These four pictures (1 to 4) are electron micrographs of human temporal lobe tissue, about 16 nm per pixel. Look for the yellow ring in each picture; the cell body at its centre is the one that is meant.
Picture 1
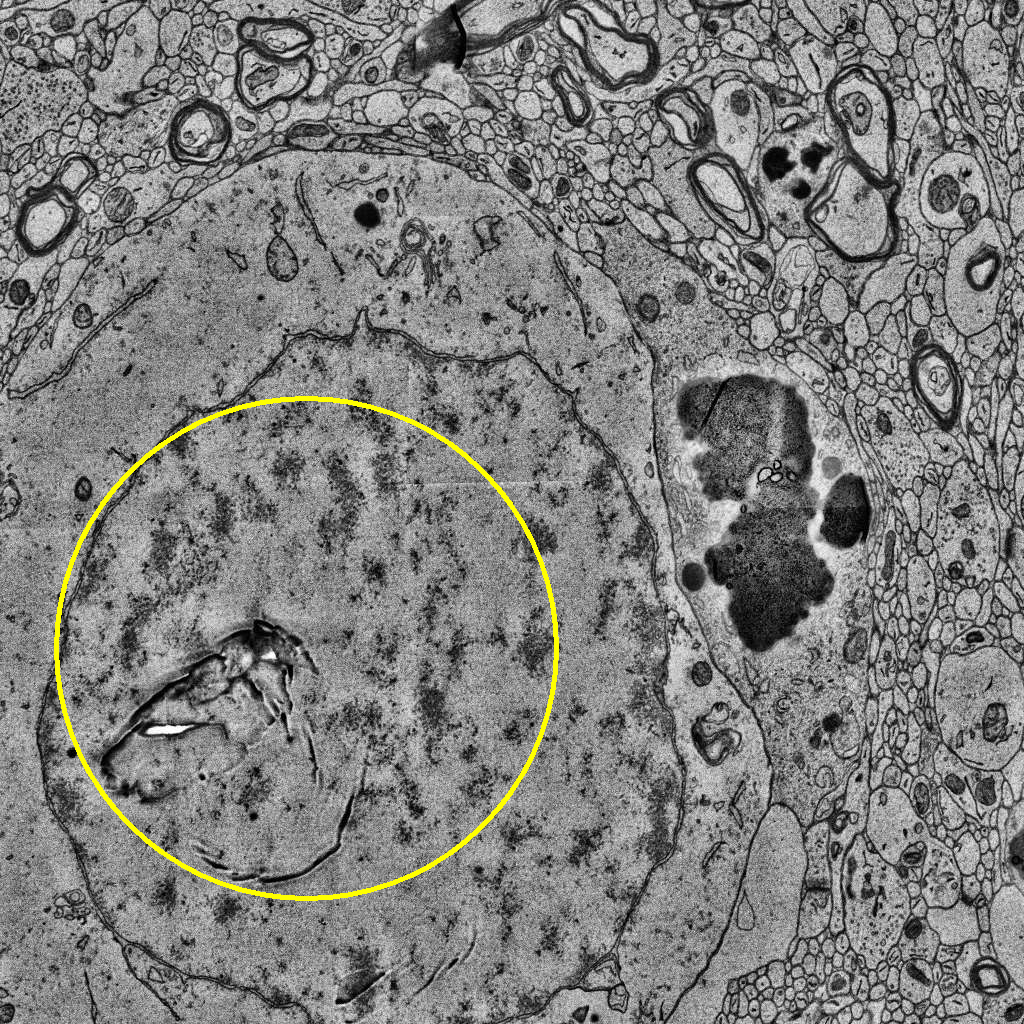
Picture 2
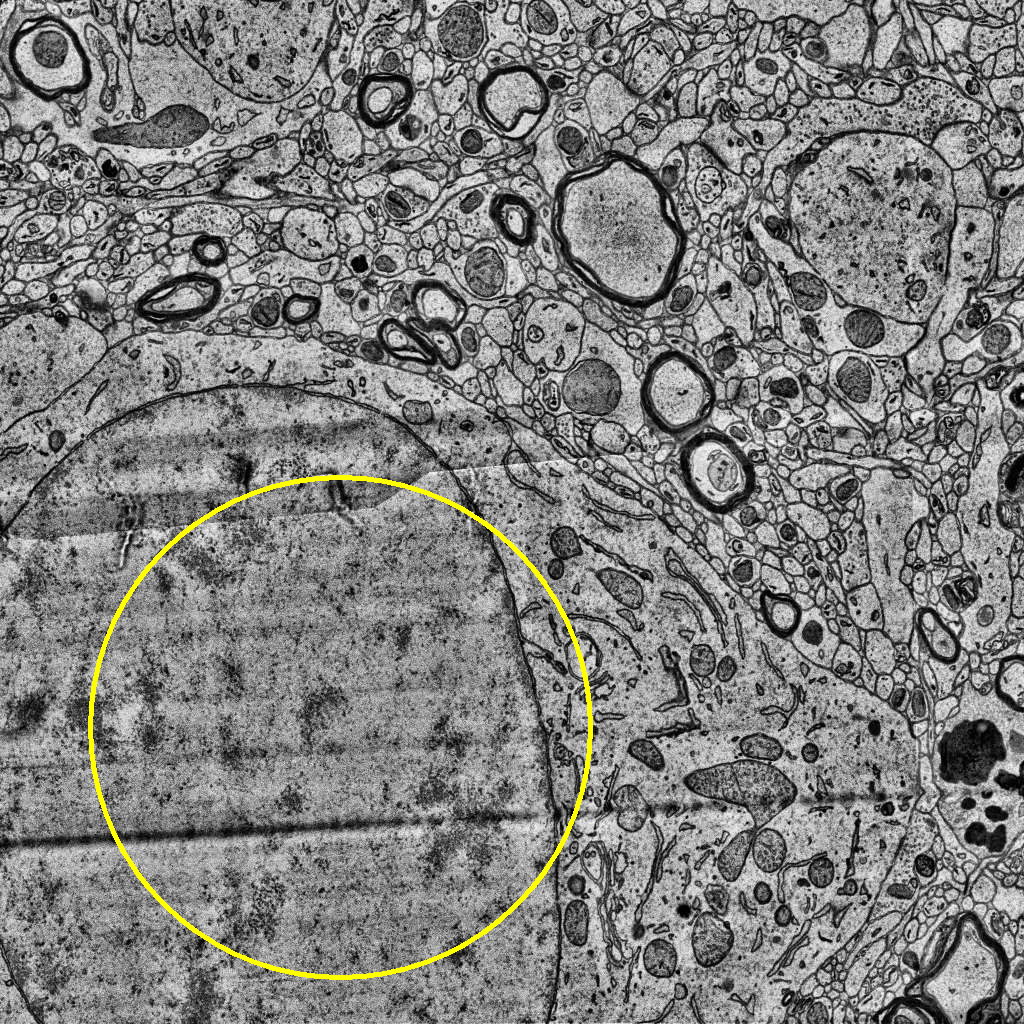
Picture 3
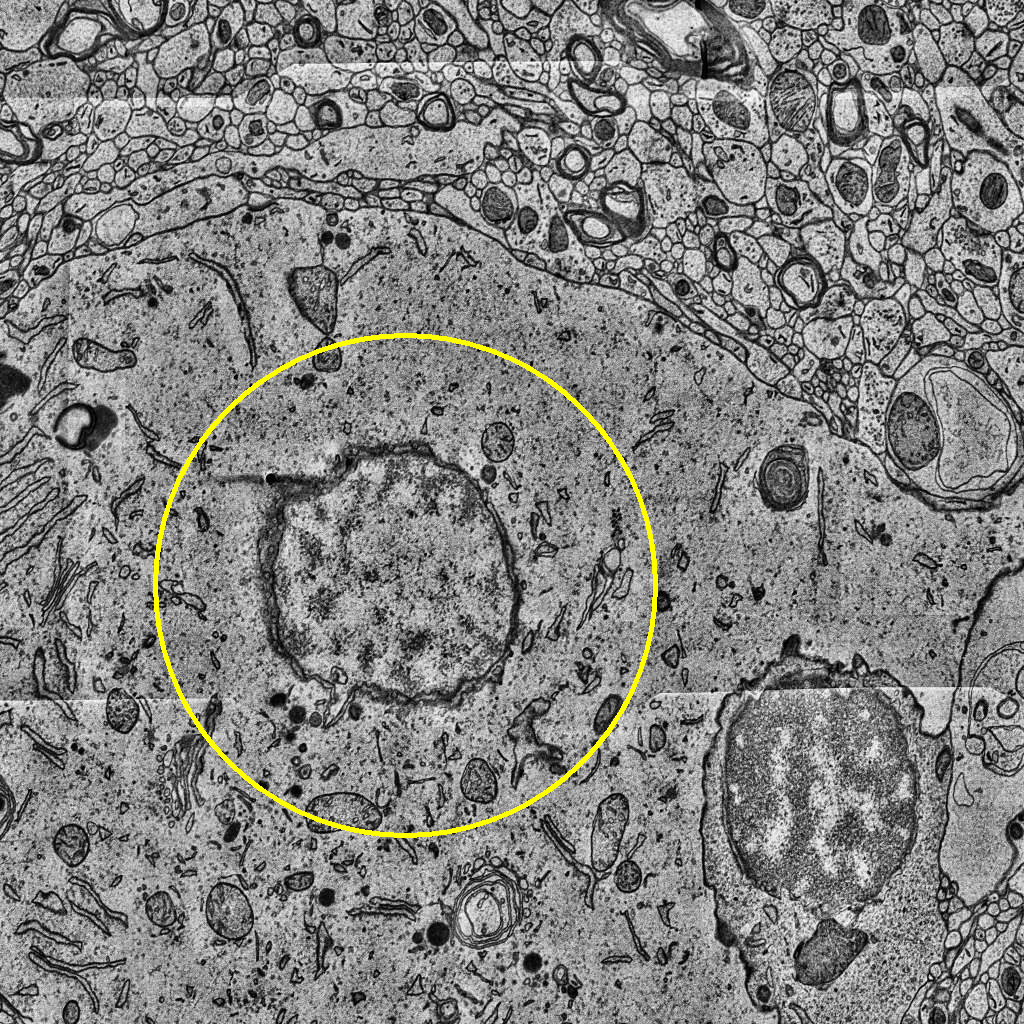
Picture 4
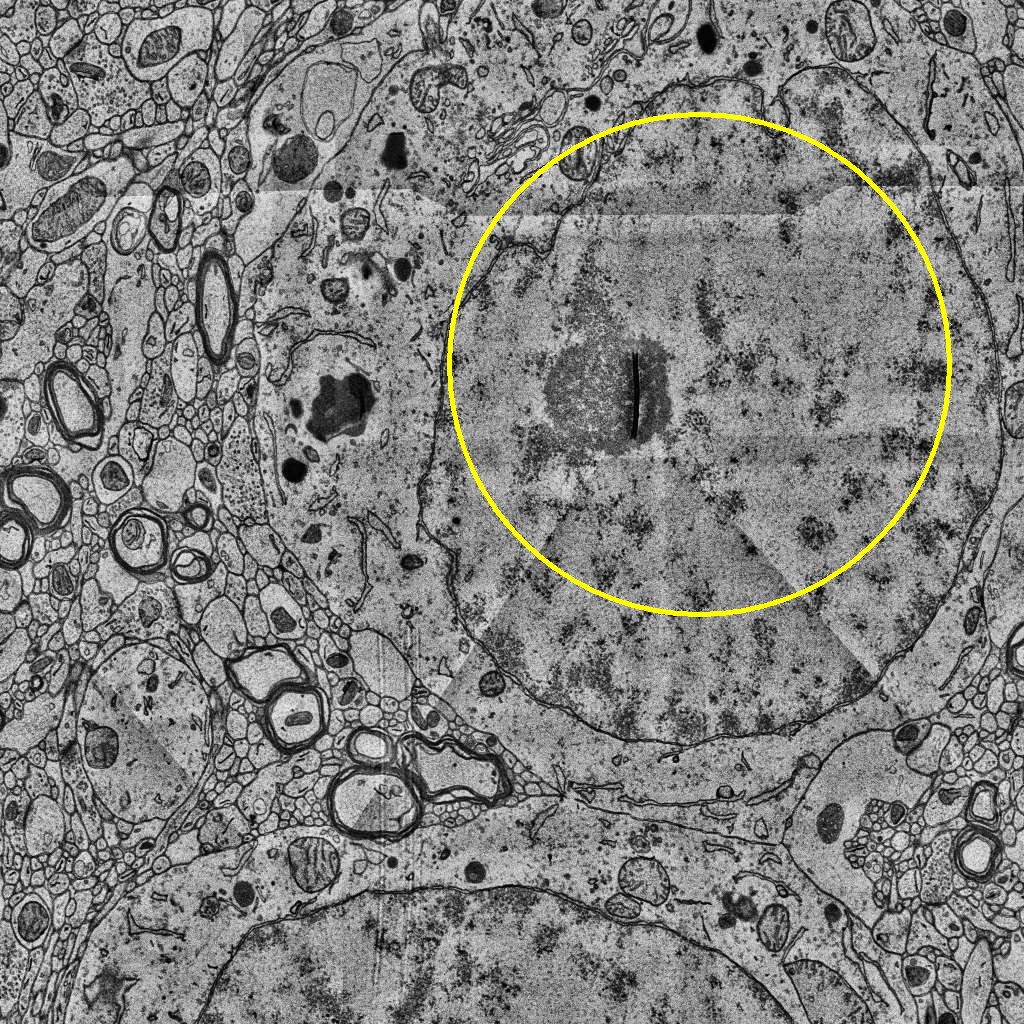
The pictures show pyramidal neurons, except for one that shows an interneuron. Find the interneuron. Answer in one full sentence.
Picture 1 is the one that shows the interneuron.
